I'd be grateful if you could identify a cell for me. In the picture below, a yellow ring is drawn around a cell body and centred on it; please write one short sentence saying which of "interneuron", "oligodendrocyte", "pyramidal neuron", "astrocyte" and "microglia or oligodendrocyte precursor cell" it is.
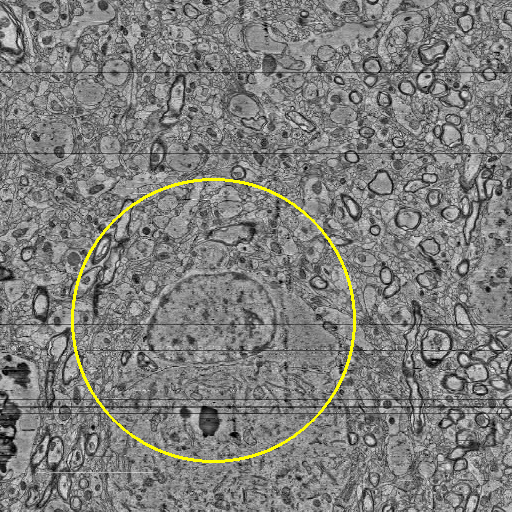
The cell under the ring's centre is a microglial cell or oligodendrocyte precursor cell.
